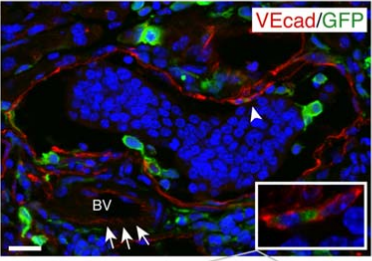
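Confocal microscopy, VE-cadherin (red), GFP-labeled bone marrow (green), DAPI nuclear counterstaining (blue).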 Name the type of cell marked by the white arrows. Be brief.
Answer: Blood endothelial cells.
